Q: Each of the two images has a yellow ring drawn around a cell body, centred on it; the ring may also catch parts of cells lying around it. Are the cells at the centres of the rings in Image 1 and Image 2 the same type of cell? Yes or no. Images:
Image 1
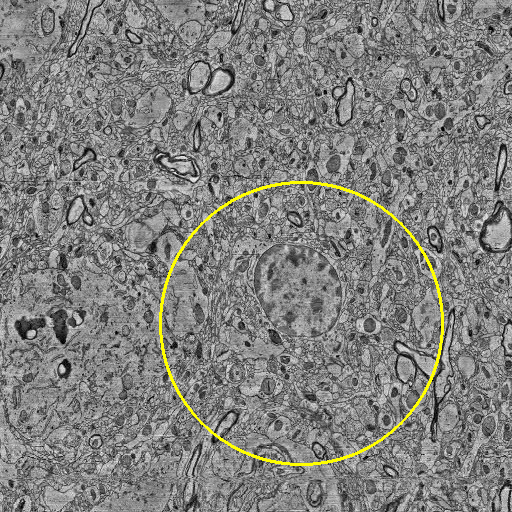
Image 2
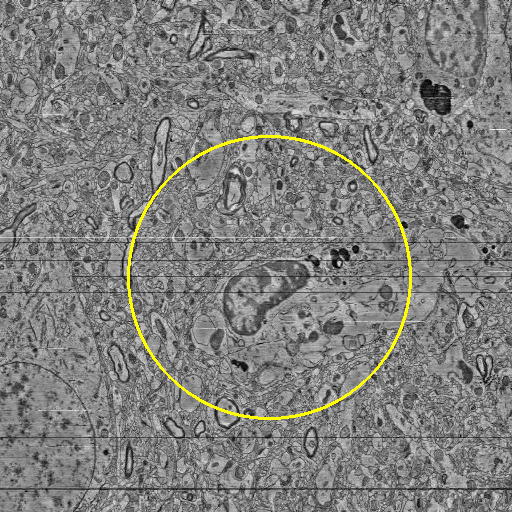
yes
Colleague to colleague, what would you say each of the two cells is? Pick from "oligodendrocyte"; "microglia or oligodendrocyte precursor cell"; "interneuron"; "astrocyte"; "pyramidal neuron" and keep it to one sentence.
Both cells are the same kind, each one being a microglial cell or oligodendrocyte precursor cell.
